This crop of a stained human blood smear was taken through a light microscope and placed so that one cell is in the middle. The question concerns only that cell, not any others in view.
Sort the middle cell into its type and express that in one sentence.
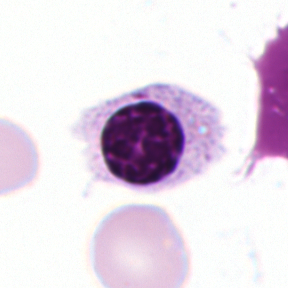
As for the central cell, it is a normoblast.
